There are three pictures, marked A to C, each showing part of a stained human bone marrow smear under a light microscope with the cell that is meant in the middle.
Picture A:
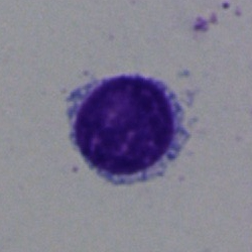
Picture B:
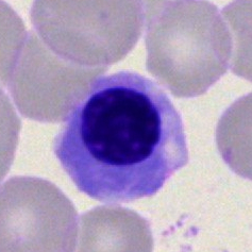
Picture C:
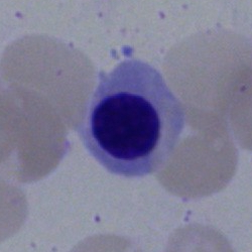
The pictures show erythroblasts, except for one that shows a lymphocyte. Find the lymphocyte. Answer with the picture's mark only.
A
